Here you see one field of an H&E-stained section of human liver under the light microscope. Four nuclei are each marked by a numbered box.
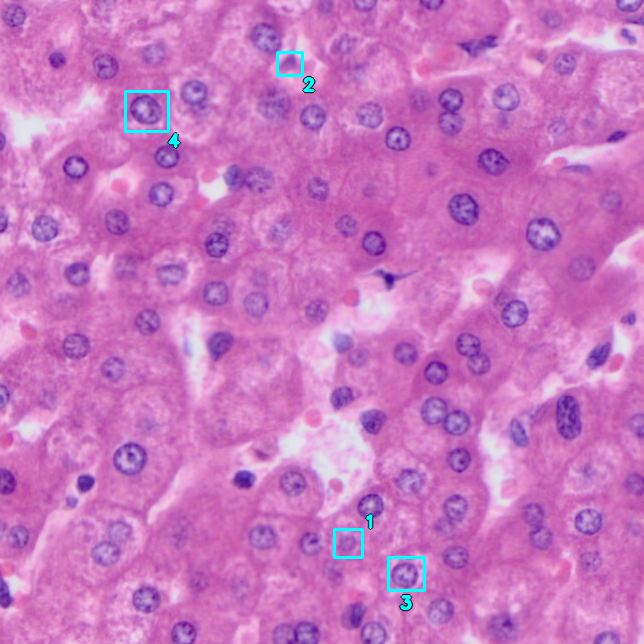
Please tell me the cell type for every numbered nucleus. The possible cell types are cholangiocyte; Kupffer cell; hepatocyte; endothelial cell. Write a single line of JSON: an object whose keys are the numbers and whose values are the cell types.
{"1": "hepatocyte", "2": "Kupffer cell", "3": "hepatocyte", "4": "hepatocyte"}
